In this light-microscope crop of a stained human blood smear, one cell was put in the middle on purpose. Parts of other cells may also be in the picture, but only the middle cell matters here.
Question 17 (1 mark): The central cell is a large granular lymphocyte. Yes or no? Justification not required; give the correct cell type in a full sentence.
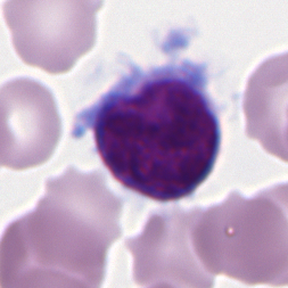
No, the central cell isn't a large granular lymphocyte, but a hairy cell.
